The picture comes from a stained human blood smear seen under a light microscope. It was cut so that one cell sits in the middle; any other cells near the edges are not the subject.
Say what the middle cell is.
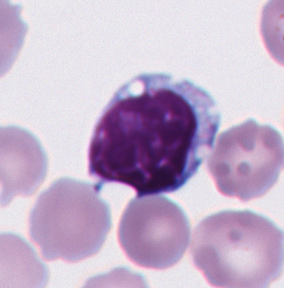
typical lymphocyte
